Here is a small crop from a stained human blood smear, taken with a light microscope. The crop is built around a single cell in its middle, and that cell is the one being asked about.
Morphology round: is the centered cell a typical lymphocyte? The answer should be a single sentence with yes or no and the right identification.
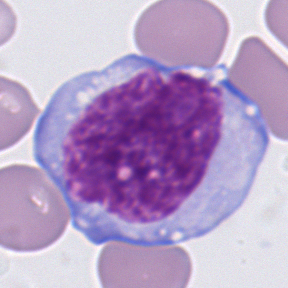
No, the cell at the centre of the crop is a myeloblast and not a typical lymphocyte.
